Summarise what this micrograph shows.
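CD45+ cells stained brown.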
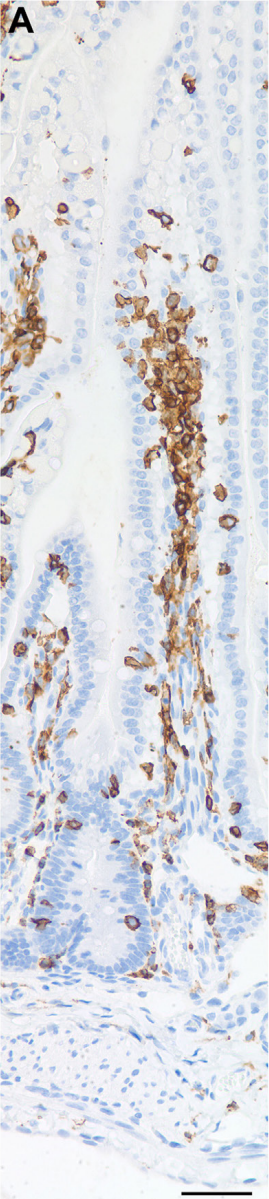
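This is a section of small intestinal wall with a tall villus rising above tubular crypts, and a loose submucosa at the bottom. The villus and crypts are lined by a single layer of columnar epithelial cells with elongated blue nuclei set in a row. The core of the villus and the mucosa around the crypts are crowded with brown-outlined, rounded or irregular cells, densest in the central core of the villus. Scattered brown cells also sit between the epithelial cells. Below the crypts, the submucosa holds only a few brown cells among pale spindle-shaped nuclei.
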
